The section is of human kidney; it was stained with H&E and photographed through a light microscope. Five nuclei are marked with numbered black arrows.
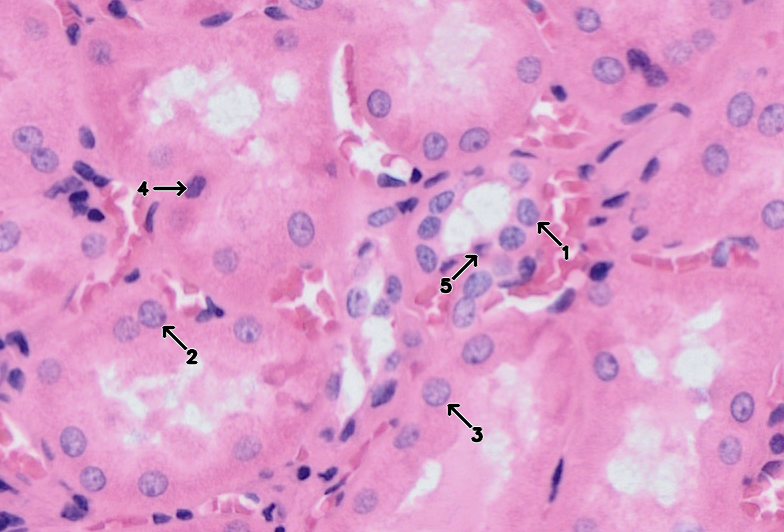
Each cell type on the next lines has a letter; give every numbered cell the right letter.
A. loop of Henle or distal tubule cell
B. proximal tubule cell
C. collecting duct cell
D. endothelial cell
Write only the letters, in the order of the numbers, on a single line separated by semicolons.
C; B; B; B; C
